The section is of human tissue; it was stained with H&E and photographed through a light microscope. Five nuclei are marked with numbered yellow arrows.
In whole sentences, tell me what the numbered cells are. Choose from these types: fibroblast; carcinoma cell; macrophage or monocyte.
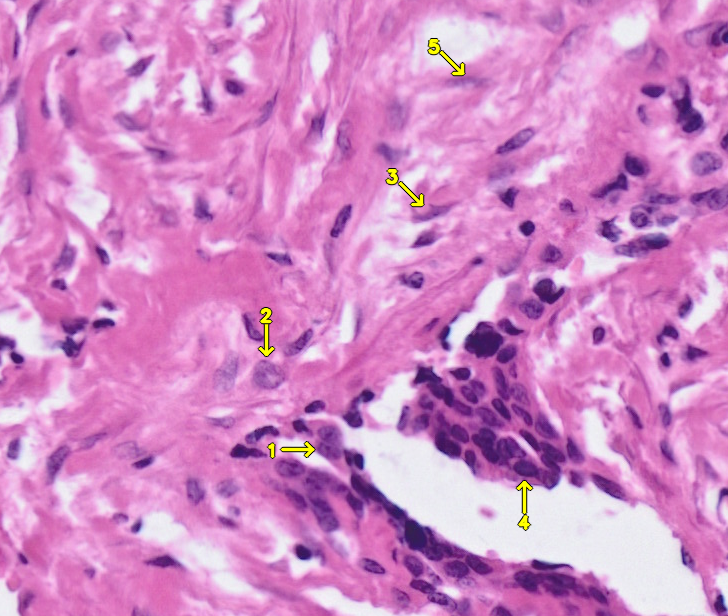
Cells 1 and 4 are carcinoma cells. Cells 2, 3 and 5 are fibroblasts.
